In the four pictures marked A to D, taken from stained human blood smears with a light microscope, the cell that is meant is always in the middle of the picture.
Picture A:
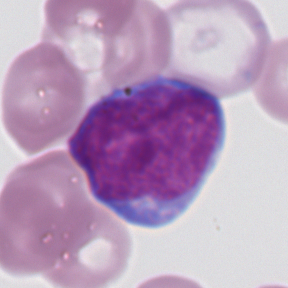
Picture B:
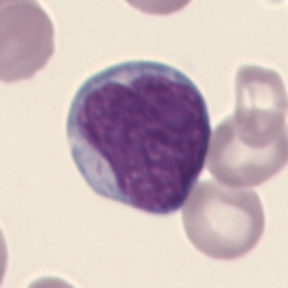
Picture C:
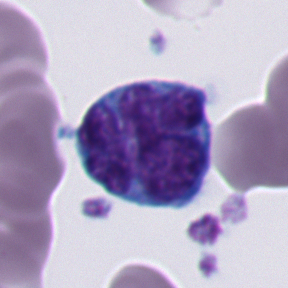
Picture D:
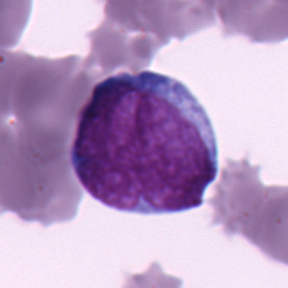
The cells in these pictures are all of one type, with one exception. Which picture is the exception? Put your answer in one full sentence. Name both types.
The others show myeloblasts, but picture C shows a monocyte.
